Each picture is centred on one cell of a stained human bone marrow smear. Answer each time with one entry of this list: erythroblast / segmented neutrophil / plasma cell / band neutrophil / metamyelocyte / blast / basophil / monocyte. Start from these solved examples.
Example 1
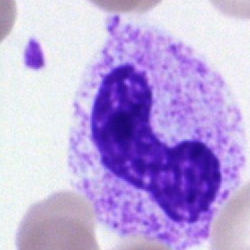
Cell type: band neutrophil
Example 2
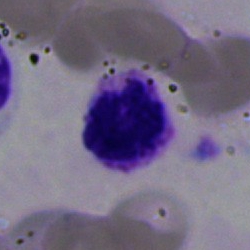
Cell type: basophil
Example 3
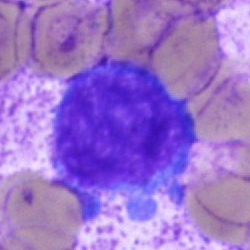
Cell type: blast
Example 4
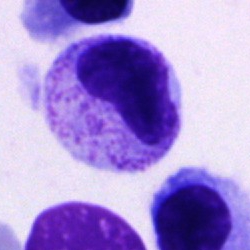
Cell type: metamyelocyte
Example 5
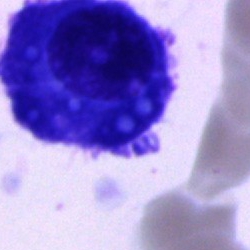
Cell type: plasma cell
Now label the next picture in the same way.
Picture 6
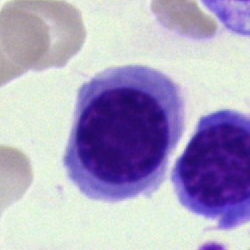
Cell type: erythroblast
